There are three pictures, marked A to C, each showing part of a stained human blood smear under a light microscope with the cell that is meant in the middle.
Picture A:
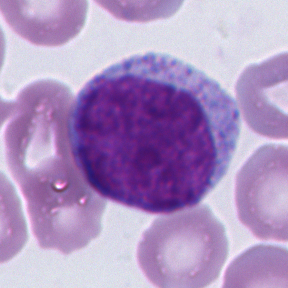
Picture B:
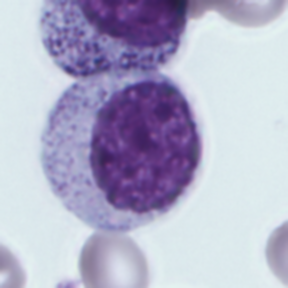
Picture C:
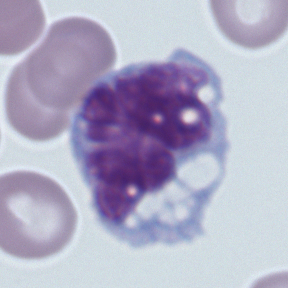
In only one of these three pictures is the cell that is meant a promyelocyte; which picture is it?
A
